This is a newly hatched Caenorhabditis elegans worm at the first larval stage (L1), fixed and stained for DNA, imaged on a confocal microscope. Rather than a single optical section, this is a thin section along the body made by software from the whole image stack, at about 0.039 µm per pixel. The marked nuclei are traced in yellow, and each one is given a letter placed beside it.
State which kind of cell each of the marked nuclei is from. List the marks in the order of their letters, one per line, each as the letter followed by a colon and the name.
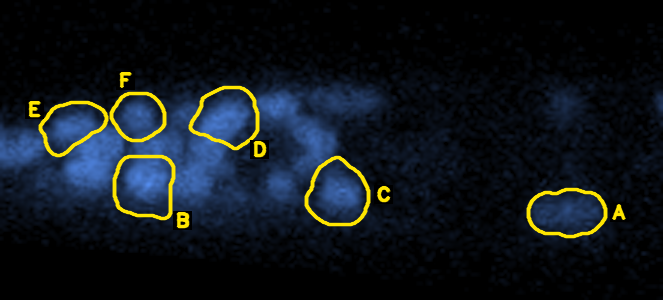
A: seam cell
B: neuron
C: enteric muscle cell
D: rectal epithelial cell
E: neuron
F: neuron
